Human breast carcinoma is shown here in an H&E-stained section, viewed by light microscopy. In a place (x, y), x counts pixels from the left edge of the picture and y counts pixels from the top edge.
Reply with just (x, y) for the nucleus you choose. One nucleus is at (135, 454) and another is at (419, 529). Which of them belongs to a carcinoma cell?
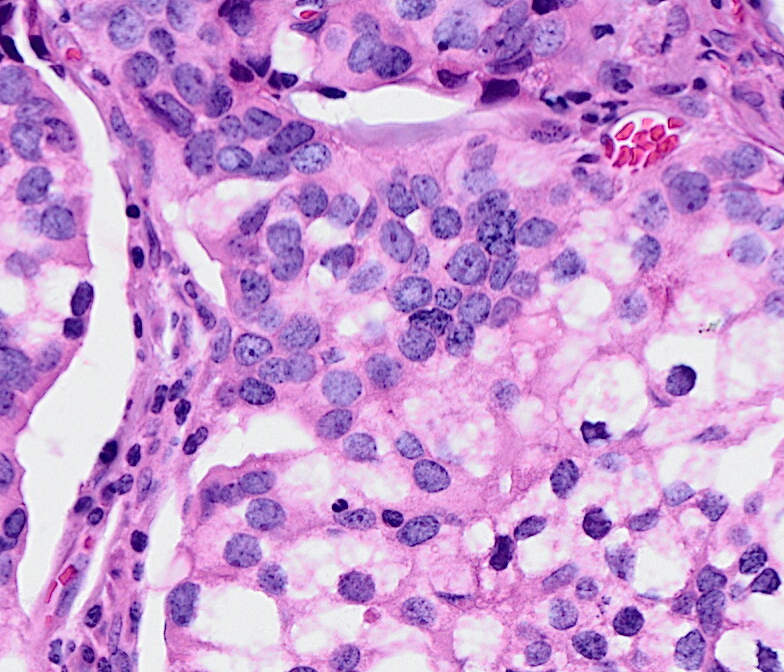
(419, 529)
